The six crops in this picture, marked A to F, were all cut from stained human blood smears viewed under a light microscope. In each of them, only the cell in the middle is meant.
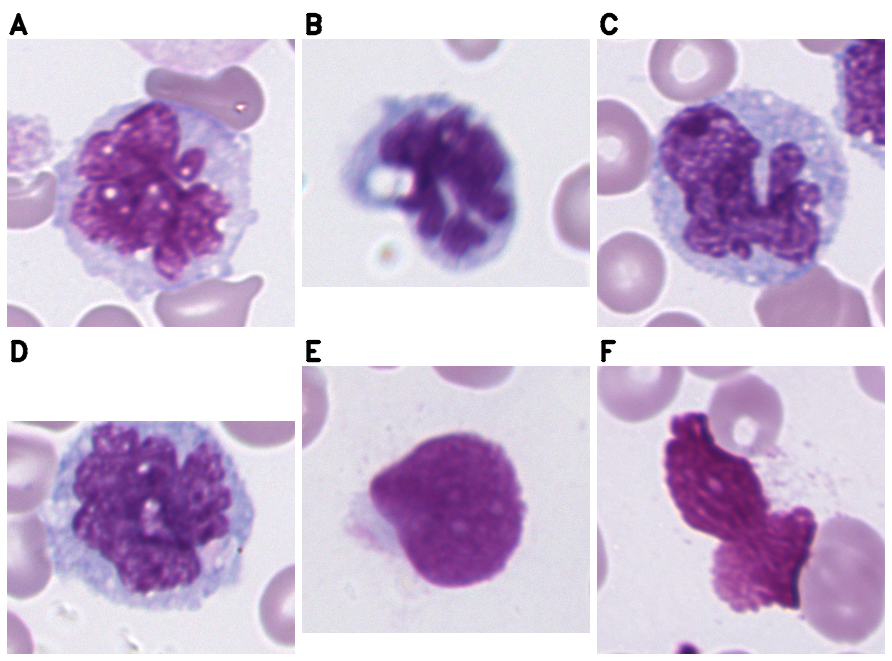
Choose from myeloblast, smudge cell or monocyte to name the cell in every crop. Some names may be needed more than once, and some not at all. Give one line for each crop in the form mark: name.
A: monocyte
B: monocyte
C: monocyte
D: monocyte
E: smudge cell
F: smudge cell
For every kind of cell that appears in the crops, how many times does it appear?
monocyte: 4
smudge cell: 2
